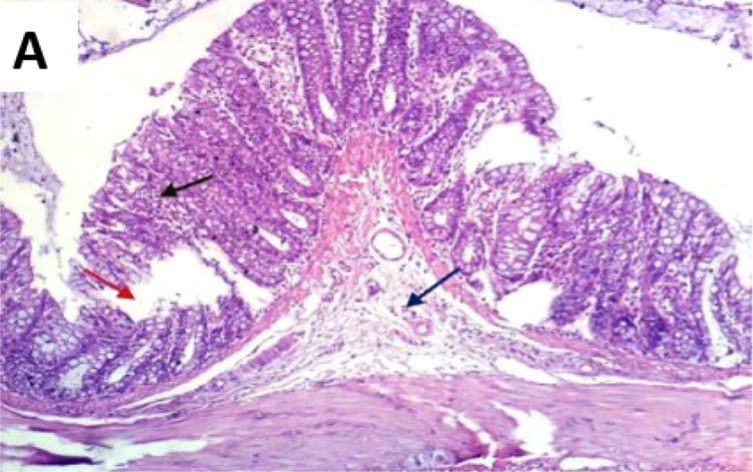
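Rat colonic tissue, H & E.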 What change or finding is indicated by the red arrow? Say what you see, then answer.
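Damaged crypt. The red arrow points to a ragged empty gap in the mucosa. The glandular lining around the gap is broken and irregular, unlike the regular parallel crypts elsewhere.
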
